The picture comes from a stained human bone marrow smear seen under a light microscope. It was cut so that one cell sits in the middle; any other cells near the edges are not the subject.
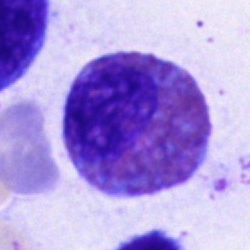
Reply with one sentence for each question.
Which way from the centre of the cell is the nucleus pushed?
Seen from the middle of the cell, the nucleus lies toward the upper left.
